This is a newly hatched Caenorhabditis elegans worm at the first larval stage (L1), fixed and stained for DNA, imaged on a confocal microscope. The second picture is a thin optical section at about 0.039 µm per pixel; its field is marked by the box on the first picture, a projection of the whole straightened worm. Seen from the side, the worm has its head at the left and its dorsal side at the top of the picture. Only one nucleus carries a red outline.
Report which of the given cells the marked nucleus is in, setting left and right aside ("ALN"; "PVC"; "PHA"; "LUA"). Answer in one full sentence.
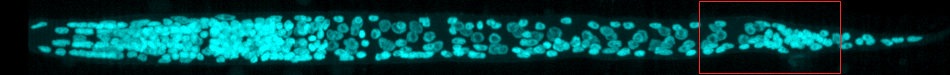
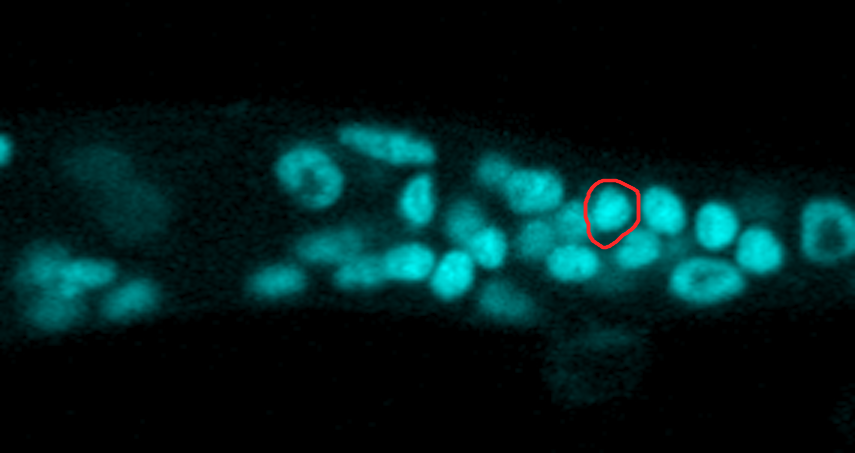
The marked nucleus belongs to LUA, a neuron.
